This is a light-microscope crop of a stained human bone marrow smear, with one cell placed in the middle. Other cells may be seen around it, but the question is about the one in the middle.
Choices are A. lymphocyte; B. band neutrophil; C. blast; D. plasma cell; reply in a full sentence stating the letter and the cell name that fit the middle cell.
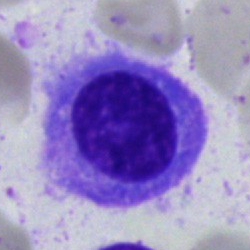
This one is option D, since the cell at the center is a plasma cell.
